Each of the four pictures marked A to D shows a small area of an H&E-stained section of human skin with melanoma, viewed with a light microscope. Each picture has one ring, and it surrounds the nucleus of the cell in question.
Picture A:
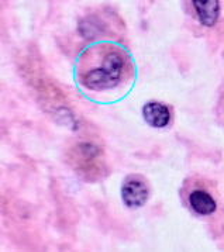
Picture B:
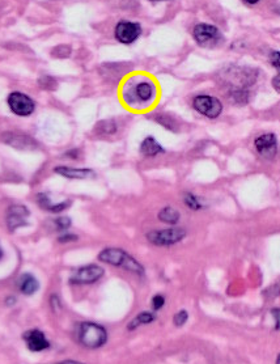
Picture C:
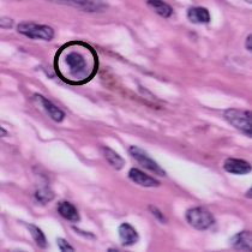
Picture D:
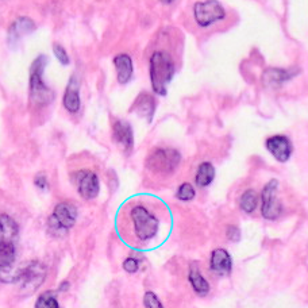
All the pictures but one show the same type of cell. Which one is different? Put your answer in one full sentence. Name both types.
Unlike the rest, which show “macrophages or monocytes”, picture C shows a lymphocyte.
